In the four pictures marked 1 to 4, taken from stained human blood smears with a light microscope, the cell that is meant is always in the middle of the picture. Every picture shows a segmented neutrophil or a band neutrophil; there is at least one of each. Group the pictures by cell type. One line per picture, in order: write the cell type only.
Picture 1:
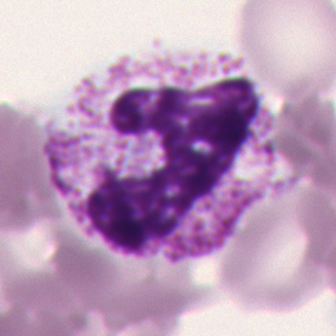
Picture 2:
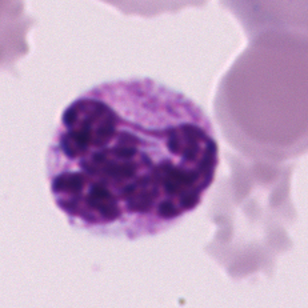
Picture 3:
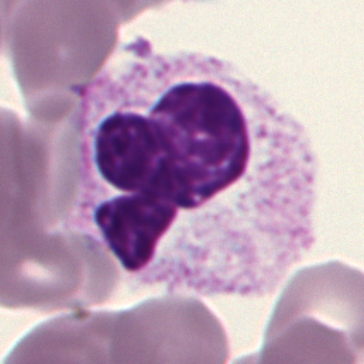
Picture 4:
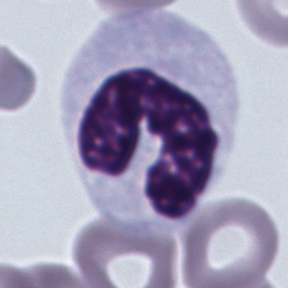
segmented neutrophil
segmented neutrophil
segmented neutrophil
band neutrophil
